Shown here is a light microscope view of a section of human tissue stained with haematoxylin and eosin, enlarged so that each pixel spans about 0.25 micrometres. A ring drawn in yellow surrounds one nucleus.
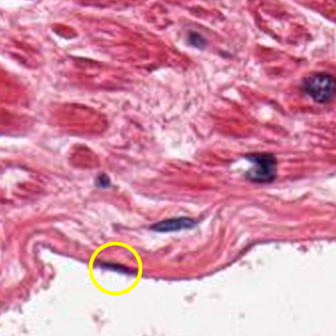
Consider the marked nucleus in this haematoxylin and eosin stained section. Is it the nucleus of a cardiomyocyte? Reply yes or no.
no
